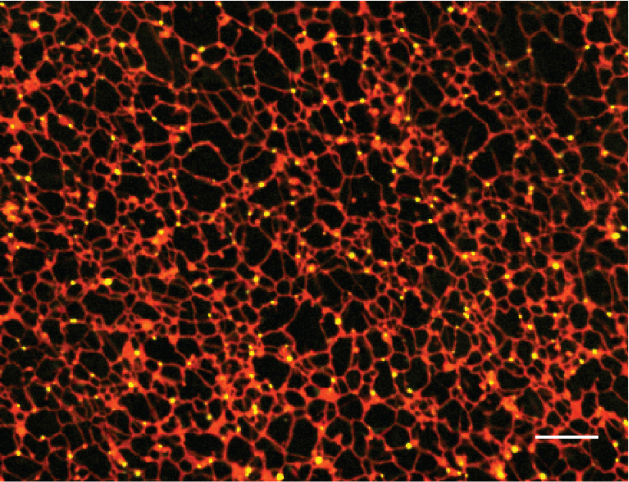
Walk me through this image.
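The tubules join each other mostly at three-way junctions, giving a honeycomb-like lattice across the whole field. Small yellow-green dots are scattered through the mesh and sit preferentially at these junctions rather than along the tubules. A few brighter, thicker patches of membrane are also seen where several tubules converge.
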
